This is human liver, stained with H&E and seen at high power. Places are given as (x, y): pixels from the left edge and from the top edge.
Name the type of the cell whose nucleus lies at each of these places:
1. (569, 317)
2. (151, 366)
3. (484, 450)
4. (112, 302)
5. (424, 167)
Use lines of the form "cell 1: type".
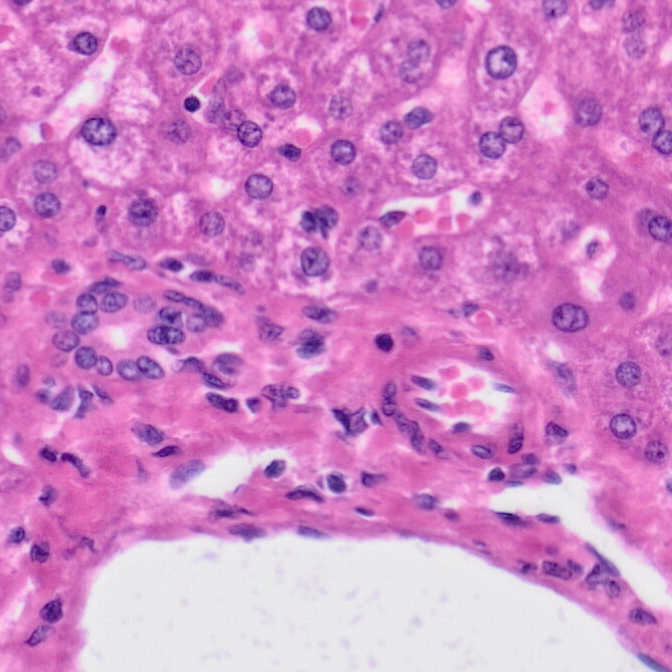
cell 1: hepatocyte
cell 2: cholangiocyte
cell 3: fibroblast or stellate cell
cell 4: cholangiocyte
cell 5: hepatocyte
